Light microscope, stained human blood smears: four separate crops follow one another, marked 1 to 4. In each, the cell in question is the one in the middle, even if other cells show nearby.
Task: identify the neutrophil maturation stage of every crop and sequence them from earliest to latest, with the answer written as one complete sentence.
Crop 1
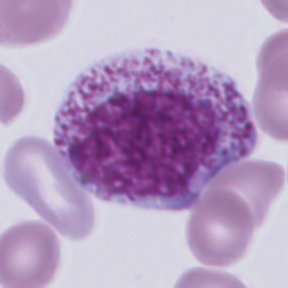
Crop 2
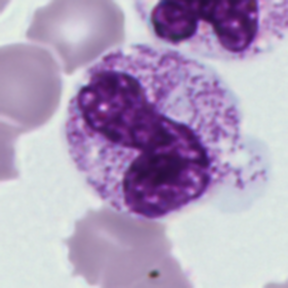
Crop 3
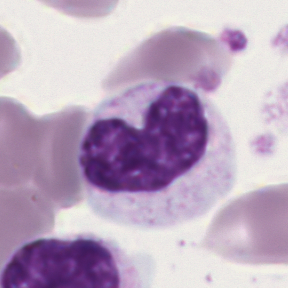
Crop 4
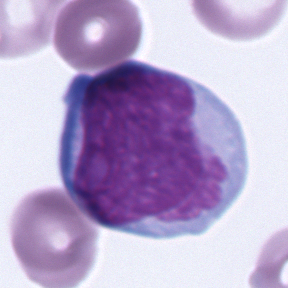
Taken from least to most mature, the sequence is crop 4 (a myeloblast), crop 1 (a myelocyte), crop 3 (a metamyelocyte) and crop 2 (a band neutrophil).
